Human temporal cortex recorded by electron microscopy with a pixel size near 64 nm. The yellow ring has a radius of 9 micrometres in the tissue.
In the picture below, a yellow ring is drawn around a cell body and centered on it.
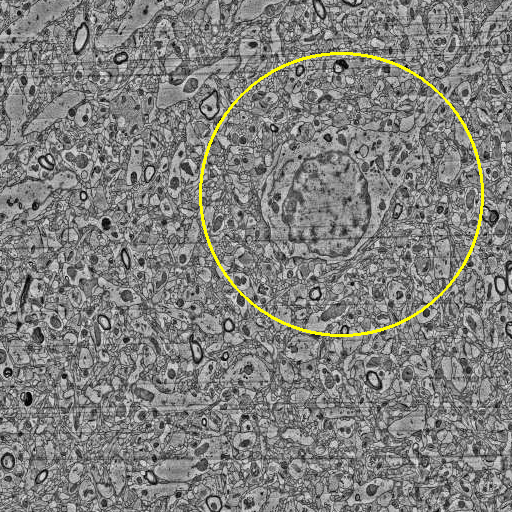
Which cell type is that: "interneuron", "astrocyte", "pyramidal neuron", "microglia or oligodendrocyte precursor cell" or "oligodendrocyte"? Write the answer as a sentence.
The cell centered in the ring is an interneuron.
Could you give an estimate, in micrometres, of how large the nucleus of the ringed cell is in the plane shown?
Roughly 7 micrometers across, in this plane.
